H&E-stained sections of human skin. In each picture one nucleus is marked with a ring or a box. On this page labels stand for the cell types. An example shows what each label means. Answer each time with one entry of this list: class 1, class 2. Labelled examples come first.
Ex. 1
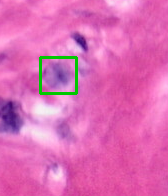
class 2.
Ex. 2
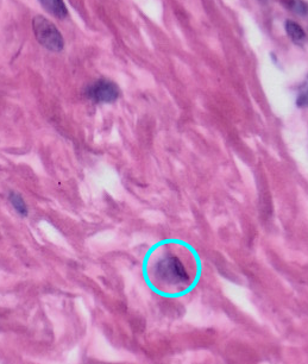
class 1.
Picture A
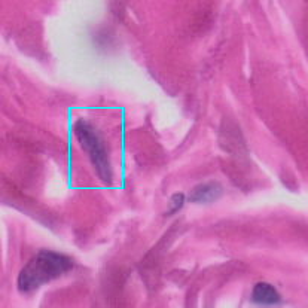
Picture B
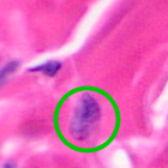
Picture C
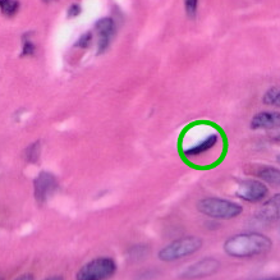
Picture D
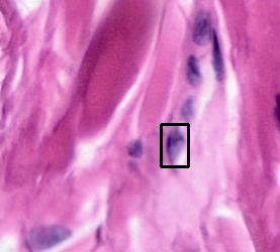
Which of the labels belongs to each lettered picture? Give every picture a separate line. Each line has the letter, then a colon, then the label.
A: class 1.
B: class 1.
C: class 1.
D: class 2.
